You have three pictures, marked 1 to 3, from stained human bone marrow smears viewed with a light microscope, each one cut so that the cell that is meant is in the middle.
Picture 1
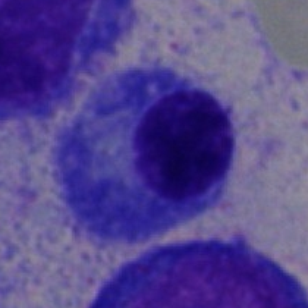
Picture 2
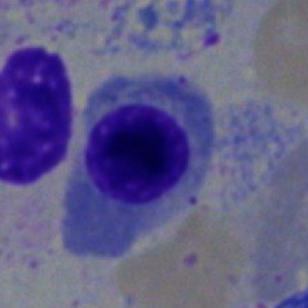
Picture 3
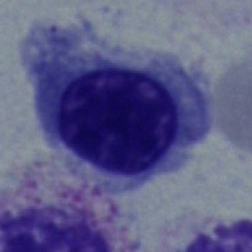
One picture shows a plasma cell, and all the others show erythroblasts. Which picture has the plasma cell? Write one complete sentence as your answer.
The plasma cell is the one in picture 1.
